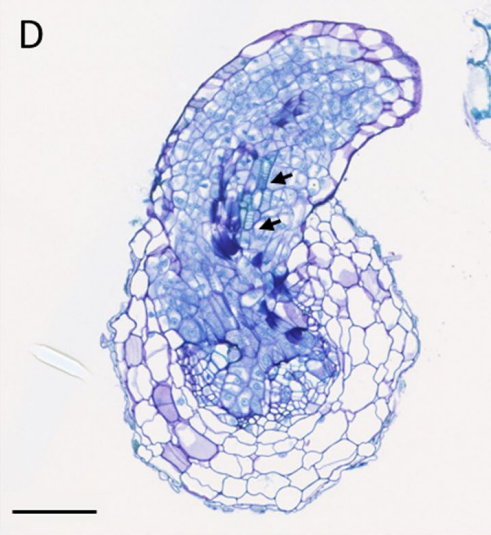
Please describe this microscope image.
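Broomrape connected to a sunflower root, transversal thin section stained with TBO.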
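At the base the host root shows large pale cortical cells around a central vascular cylinder. The strand inside the outgrowth leads toward that central cylinder.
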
